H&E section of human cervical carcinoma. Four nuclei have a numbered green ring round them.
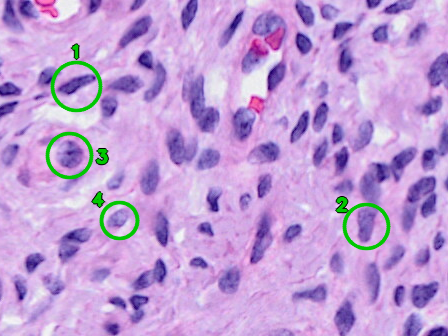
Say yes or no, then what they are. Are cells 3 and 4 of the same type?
No, the cell numbered 3 is an endothelial cell, and the cell numbered 4 is a fibroblast.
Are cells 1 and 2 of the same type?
Yes, cell number 1 and cell number 2 are both fibroblasts.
